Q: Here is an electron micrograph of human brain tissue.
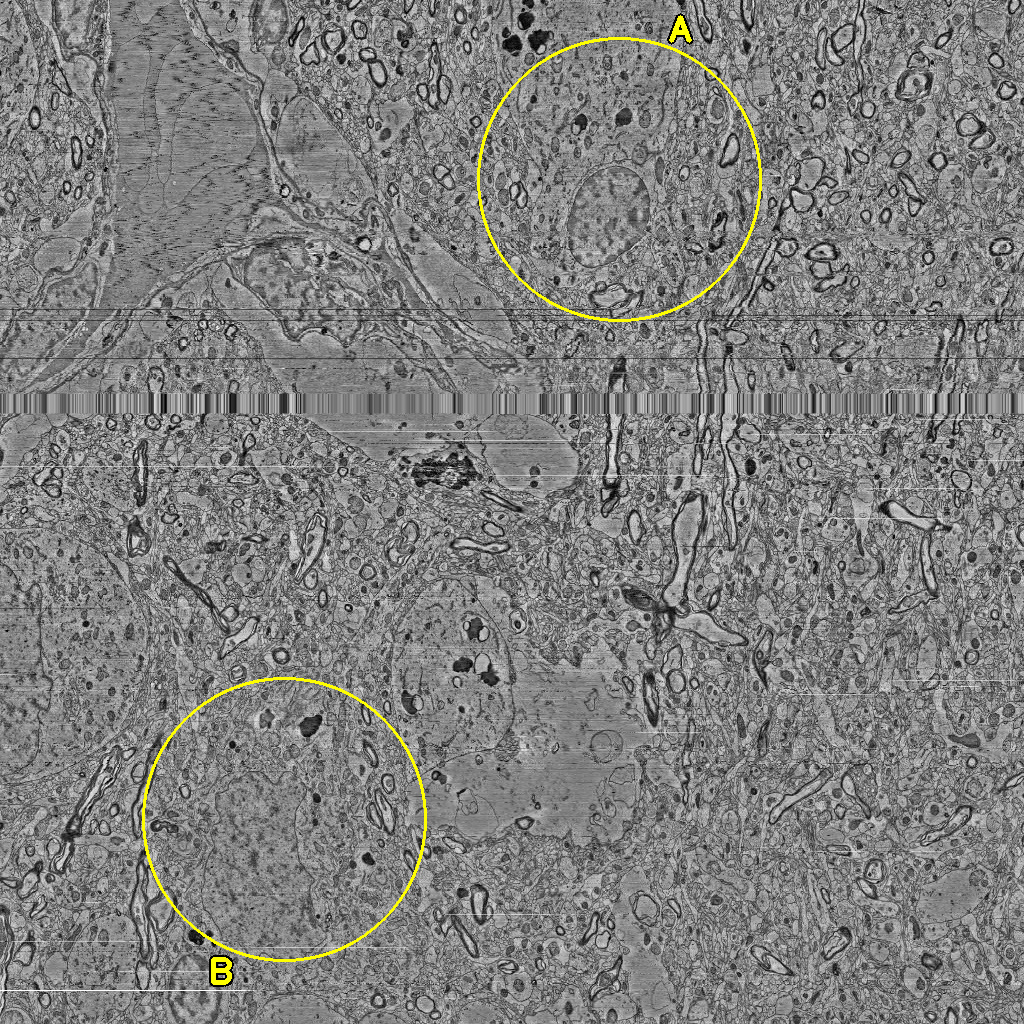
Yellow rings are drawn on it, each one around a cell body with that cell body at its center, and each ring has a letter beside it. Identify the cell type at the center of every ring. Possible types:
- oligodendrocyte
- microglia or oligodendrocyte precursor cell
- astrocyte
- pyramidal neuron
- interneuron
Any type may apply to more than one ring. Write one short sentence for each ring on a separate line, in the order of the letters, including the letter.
Centered in ring A is a microglial cell or oligodendrocyte precursor cell.
Centered in ring B is an interneuron.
